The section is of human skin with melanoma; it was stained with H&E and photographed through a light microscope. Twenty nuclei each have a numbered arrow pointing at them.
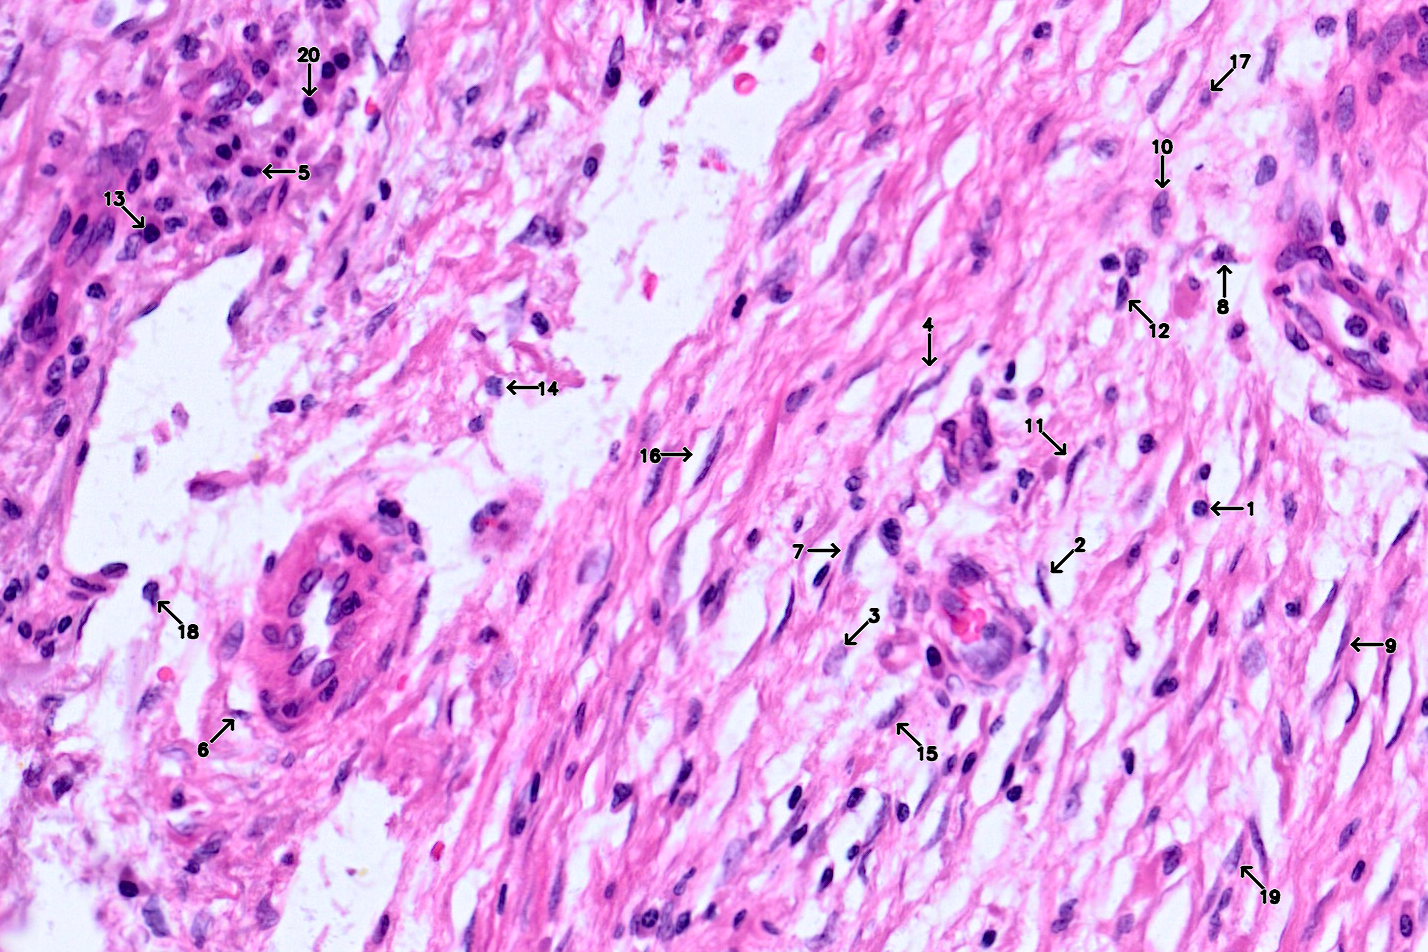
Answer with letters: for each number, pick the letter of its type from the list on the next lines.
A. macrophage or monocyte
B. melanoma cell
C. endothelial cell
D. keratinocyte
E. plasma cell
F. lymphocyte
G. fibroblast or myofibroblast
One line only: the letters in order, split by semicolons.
F; G; G; G; E; G; G; A; G; A; G; A; E; F; G; G; A; F; G; E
